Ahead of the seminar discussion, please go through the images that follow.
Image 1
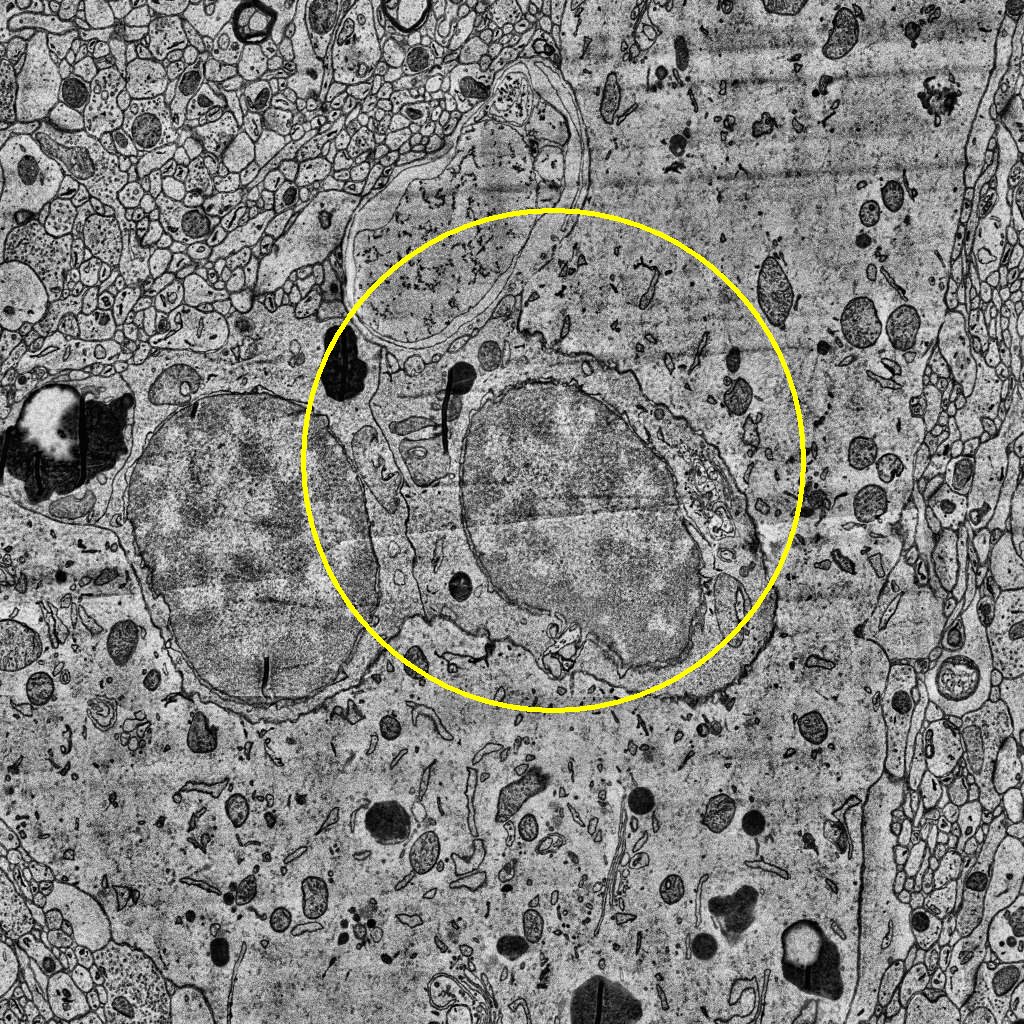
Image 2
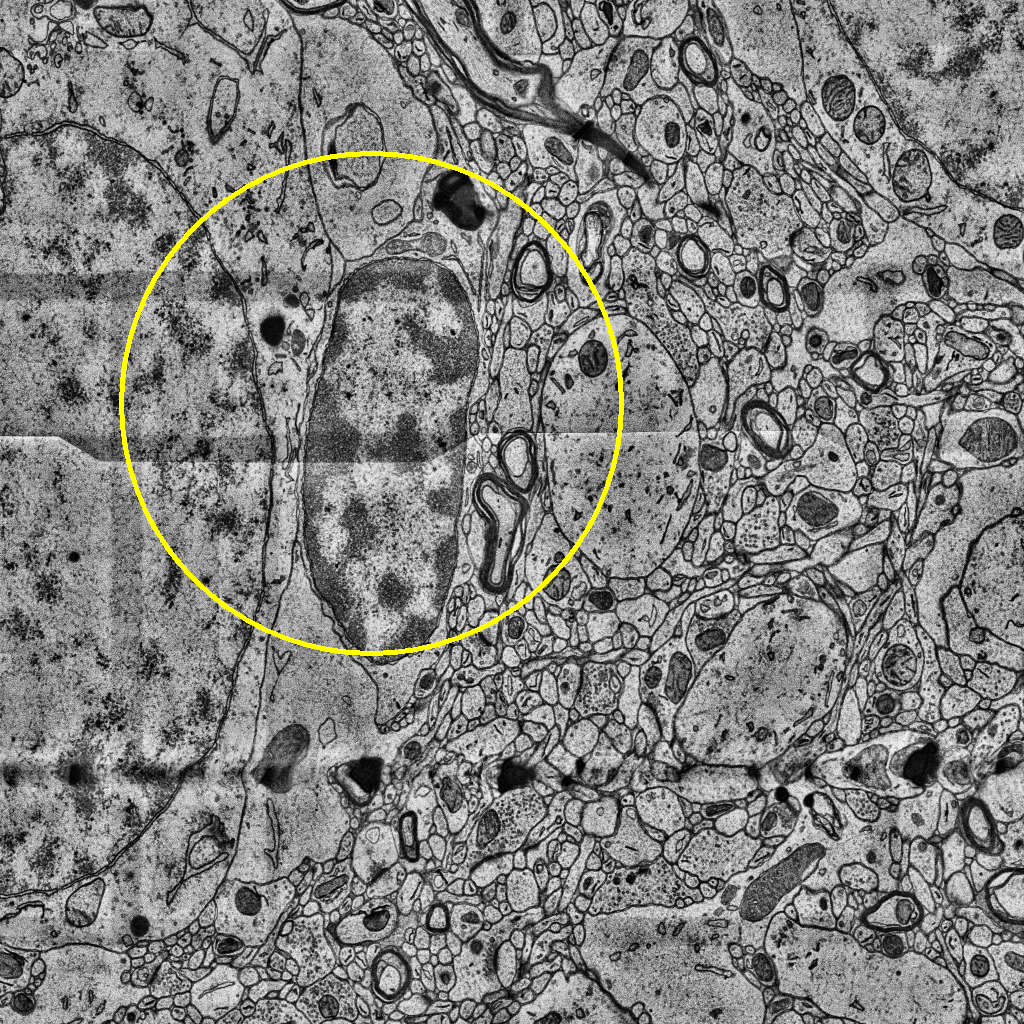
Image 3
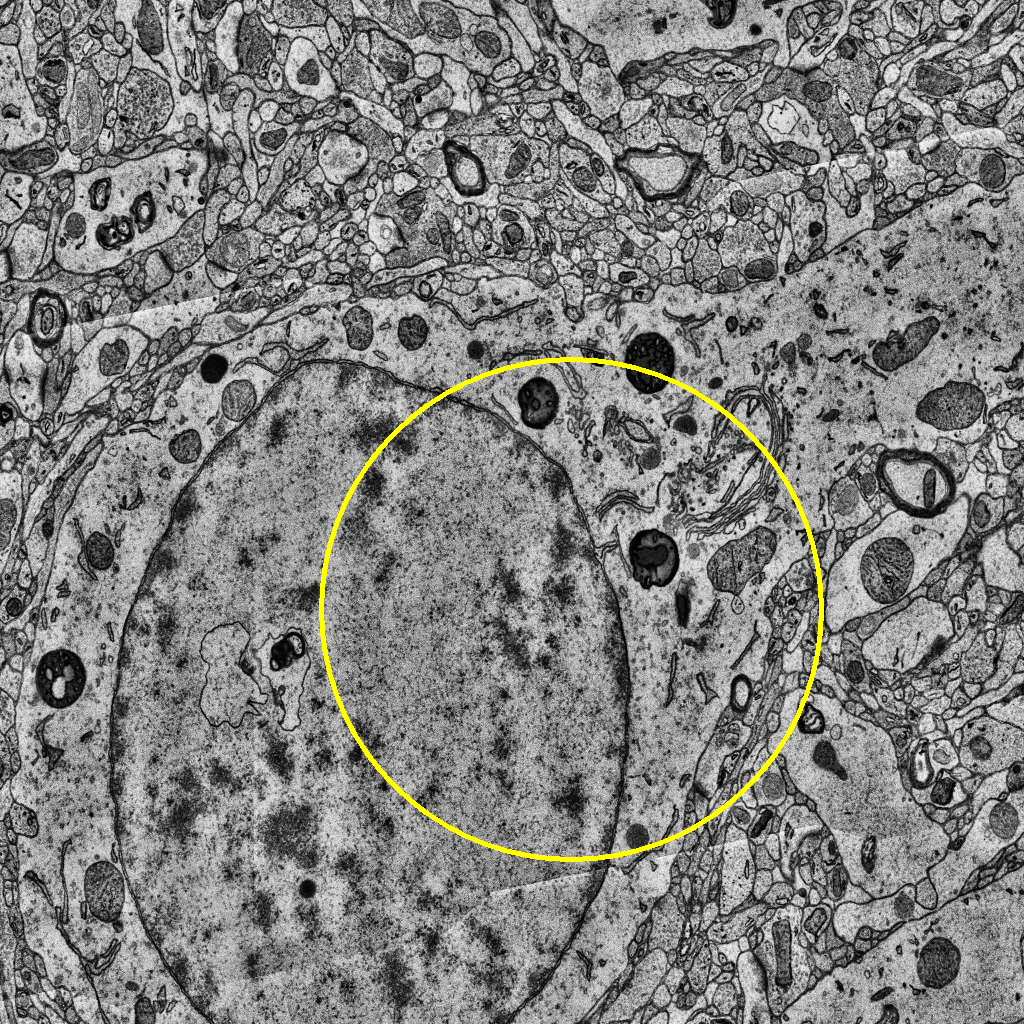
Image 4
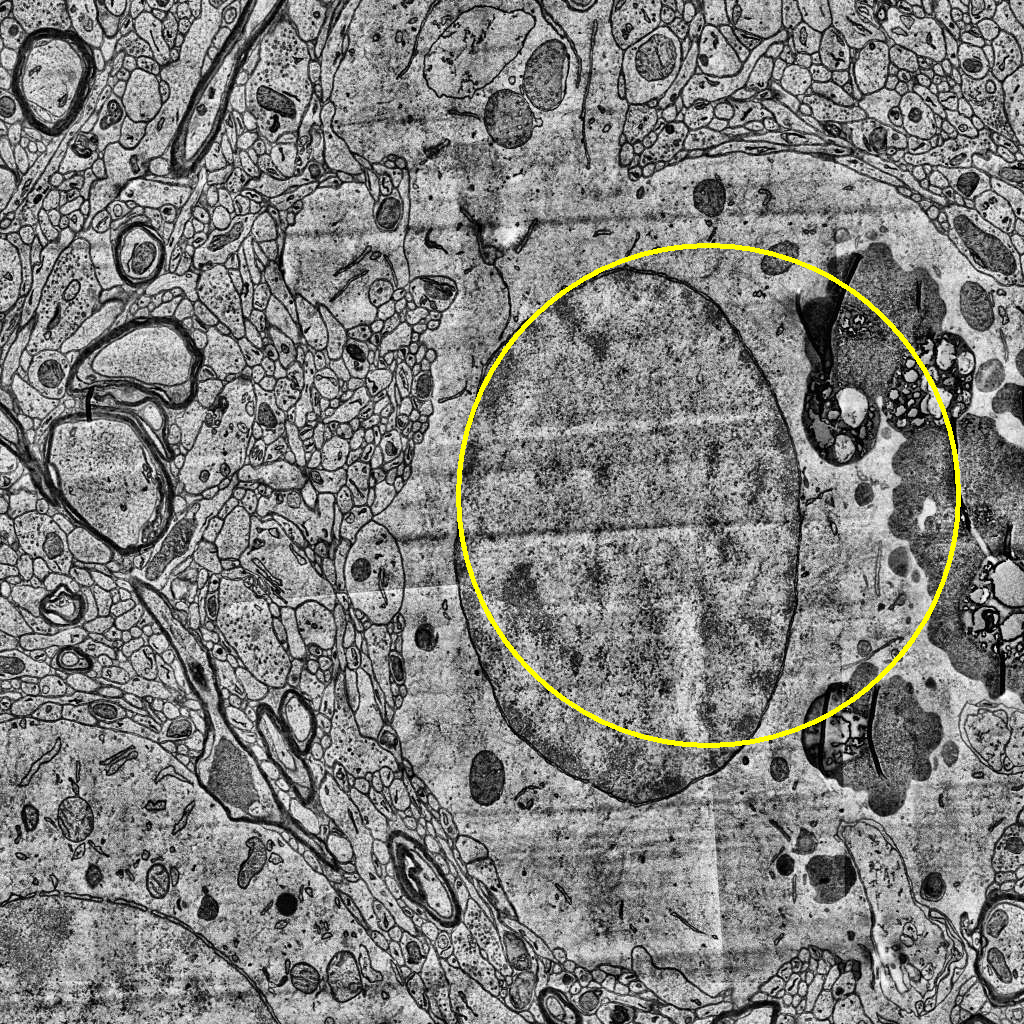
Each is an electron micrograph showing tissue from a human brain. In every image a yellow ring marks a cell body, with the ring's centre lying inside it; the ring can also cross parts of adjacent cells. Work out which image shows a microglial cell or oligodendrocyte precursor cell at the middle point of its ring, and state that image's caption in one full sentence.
In Image 2, the ring's centre lies within the cell you are looking for.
